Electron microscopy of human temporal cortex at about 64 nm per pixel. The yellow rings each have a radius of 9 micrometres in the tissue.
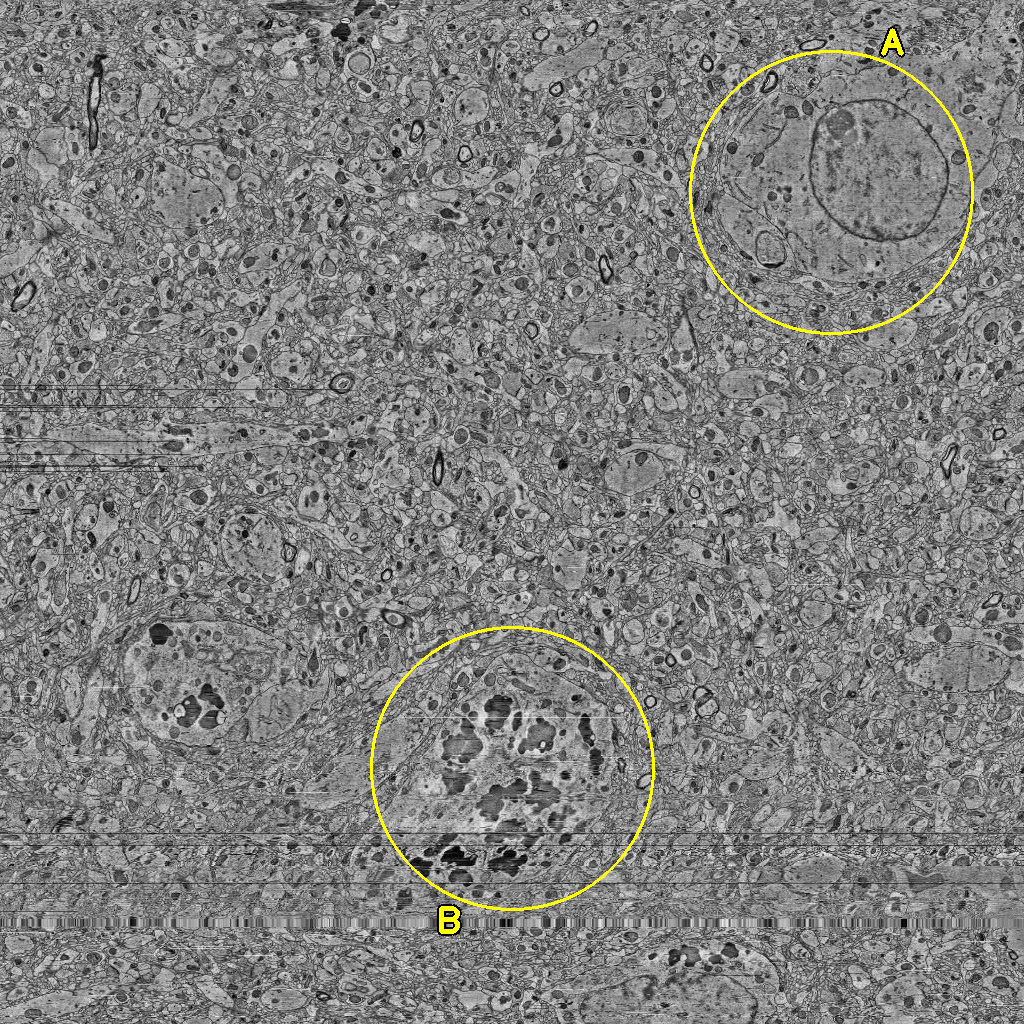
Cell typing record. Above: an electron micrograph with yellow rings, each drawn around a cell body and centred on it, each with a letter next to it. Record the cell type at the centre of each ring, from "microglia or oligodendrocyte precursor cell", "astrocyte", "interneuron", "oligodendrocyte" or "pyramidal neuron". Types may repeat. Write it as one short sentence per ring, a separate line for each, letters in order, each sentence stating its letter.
Ring A circles a pyramidal neuron.
Ring B circles an interneuron.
